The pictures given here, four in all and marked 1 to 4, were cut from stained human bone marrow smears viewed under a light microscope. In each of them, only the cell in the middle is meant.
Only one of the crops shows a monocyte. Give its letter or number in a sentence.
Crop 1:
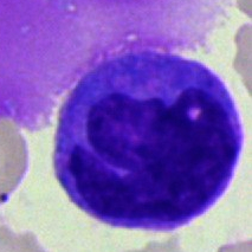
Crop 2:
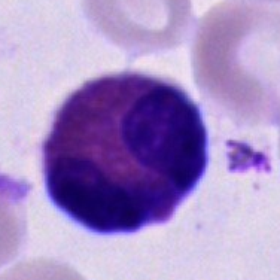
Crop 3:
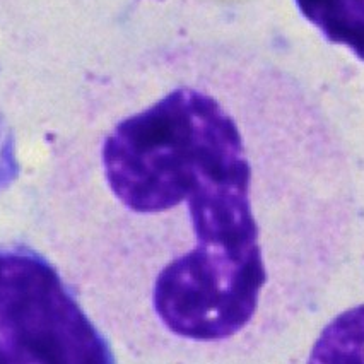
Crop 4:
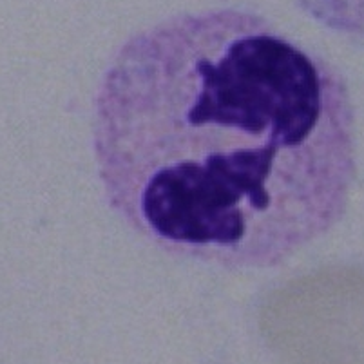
It is the cell in crop 1 that is a monocyte.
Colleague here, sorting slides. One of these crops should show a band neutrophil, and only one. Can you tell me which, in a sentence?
Crop 3 alone, of all the crops, shows a band neutrophil.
